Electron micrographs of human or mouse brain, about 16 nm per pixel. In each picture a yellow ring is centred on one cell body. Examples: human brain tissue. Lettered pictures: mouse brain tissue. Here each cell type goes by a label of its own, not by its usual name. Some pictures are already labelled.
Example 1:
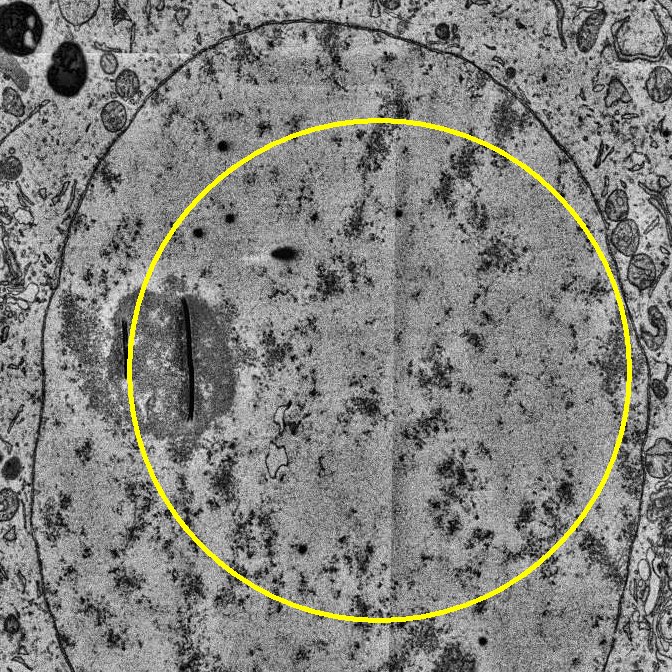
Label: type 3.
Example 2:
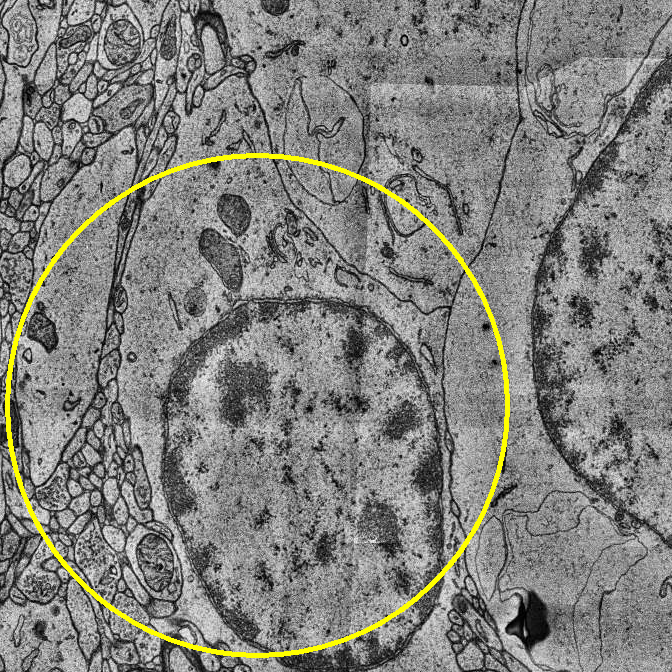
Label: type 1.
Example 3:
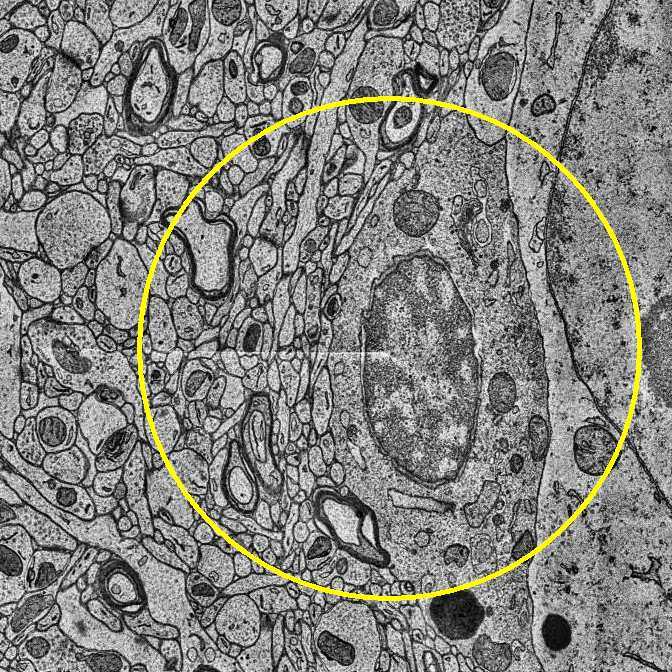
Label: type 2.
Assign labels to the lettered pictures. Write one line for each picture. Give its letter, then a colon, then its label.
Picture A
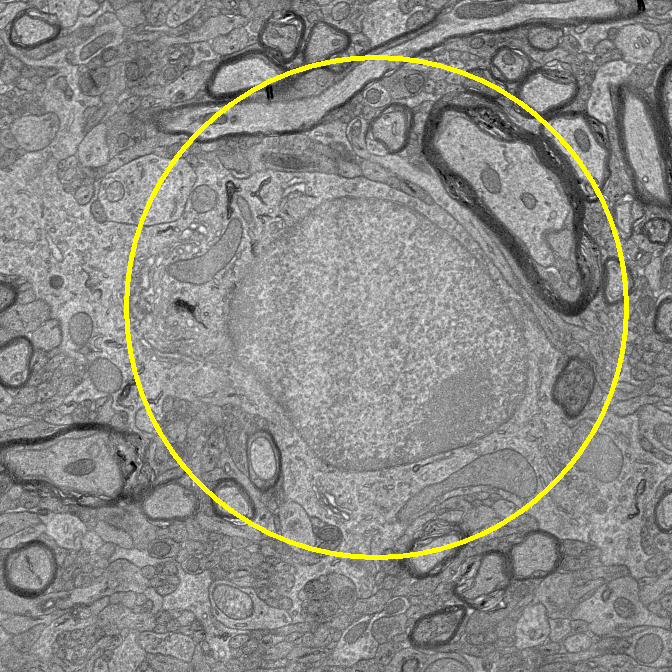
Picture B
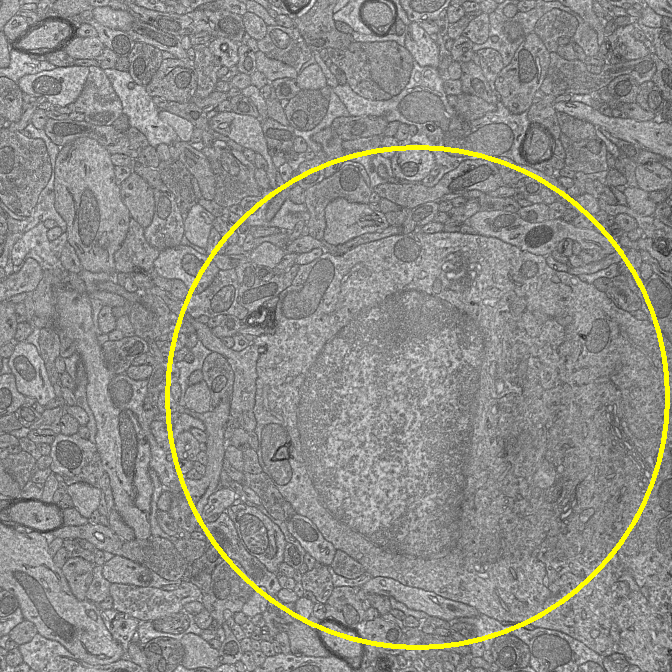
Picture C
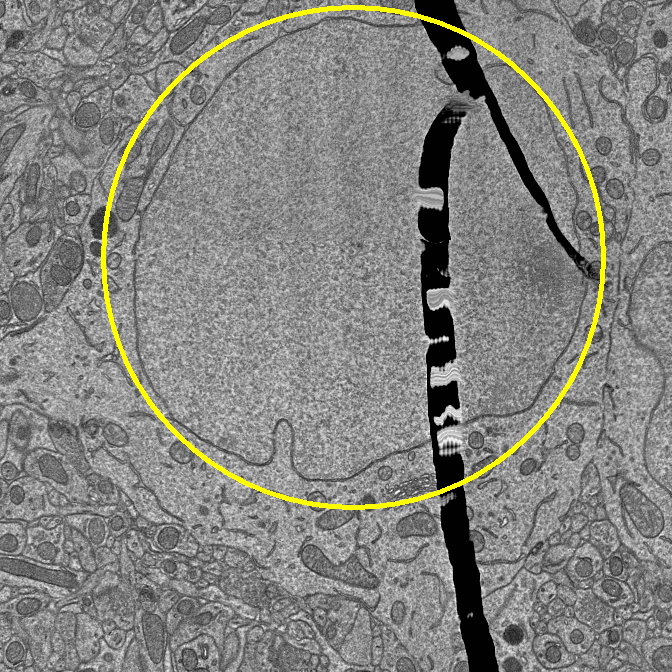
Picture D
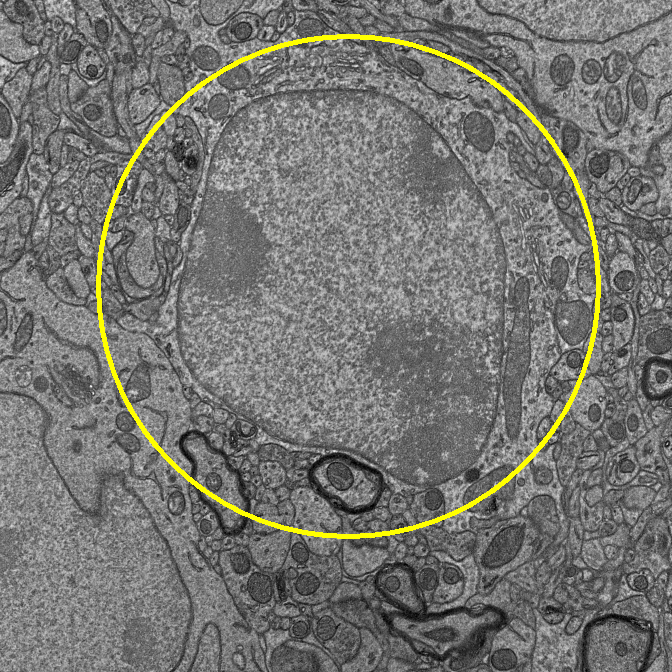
A: type 1.
B: type 2.
C: type 3.
D: type 1.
